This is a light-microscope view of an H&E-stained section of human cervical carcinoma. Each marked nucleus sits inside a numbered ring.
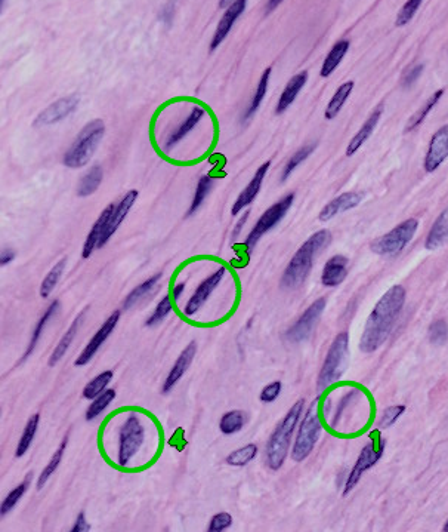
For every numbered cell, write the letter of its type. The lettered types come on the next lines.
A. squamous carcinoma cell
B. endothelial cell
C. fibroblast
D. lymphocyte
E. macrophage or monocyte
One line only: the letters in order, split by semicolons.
B; C; C; C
